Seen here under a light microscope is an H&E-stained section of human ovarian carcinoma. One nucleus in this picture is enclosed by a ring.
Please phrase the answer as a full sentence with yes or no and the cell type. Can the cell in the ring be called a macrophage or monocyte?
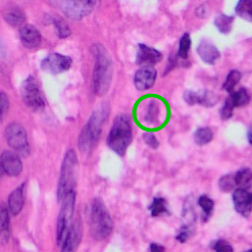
Yes, the claim that the cell in the ring is a macrophage or monocyte holds true.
